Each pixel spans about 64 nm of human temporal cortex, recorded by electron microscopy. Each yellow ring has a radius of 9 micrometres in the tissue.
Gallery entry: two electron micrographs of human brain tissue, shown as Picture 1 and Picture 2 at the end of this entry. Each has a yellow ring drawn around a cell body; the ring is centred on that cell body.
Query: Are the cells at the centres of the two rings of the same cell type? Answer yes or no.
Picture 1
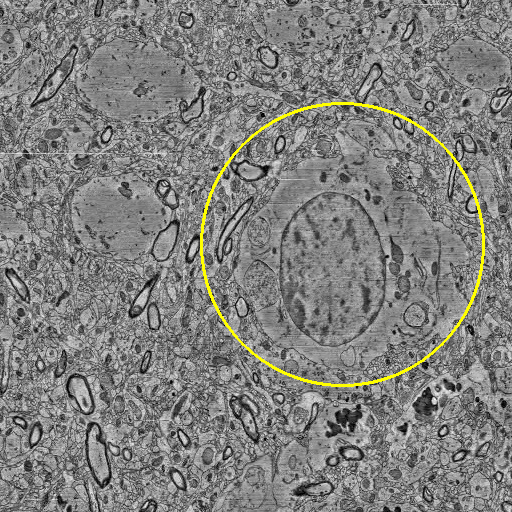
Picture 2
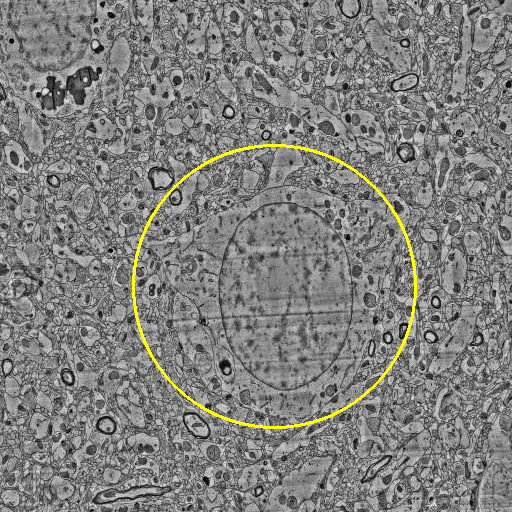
no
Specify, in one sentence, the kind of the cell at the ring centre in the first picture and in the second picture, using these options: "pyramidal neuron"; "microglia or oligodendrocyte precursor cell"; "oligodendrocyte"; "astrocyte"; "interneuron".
So the first is an astrocyte, the second a pyramidal neuron.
